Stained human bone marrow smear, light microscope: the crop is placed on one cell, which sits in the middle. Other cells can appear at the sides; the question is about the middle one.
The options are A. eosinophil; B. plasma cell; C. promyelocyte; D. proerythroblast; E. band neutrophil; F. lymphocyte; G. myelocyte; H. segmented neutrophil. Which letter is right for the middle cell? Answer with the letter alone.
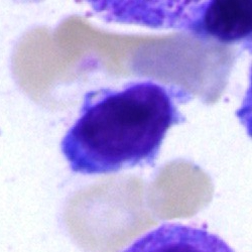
F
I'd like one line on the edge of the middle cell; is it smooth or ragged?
The cell shows an uneven border, formed by ragged areas or by outward projections.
